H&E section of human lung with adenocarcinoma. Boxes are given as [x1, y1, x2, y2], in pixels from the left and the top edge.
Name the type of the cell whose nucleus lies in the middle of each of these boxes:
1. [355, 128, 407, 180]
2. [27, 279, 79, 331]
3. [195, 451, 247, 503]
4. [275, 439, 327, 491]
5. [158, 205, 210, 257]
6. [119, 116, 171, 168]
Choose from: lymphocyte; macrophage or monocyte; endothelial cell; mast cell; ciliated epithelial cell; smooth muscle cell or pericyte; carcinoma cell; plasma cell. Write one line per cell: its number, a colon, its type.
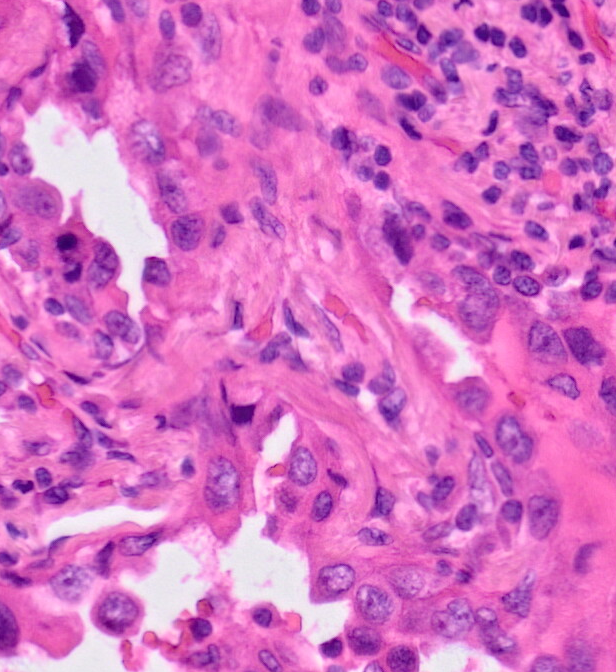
1: lymphocyte
2: lymphocyte
3: carcinoma cell
4: carcinoma cell
5: carcinoma cell
6: carcinoma cell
